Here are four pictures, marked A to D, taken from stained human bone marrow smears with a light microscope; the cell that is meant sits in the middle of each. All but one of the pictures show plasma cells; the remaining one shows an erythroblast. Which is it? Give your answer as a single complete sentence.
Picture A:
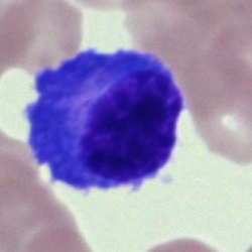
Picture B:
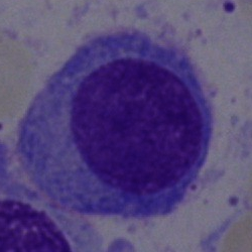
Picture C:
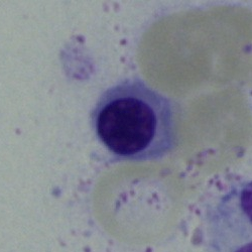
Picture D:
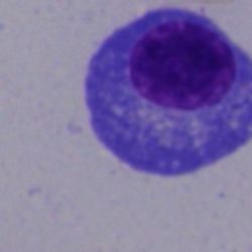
It is picture C that shows the erythroblast.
